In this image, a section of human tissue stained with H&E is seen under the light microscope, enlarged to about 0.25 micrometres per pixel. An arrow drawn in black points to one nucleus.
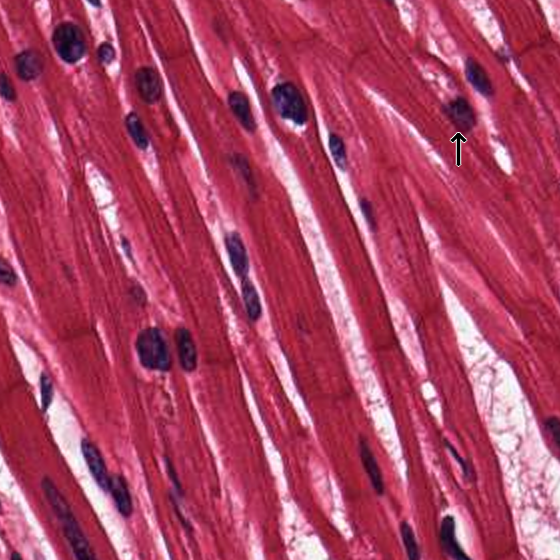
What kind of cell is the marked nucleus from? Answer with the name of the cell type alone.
cardiomyocyte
